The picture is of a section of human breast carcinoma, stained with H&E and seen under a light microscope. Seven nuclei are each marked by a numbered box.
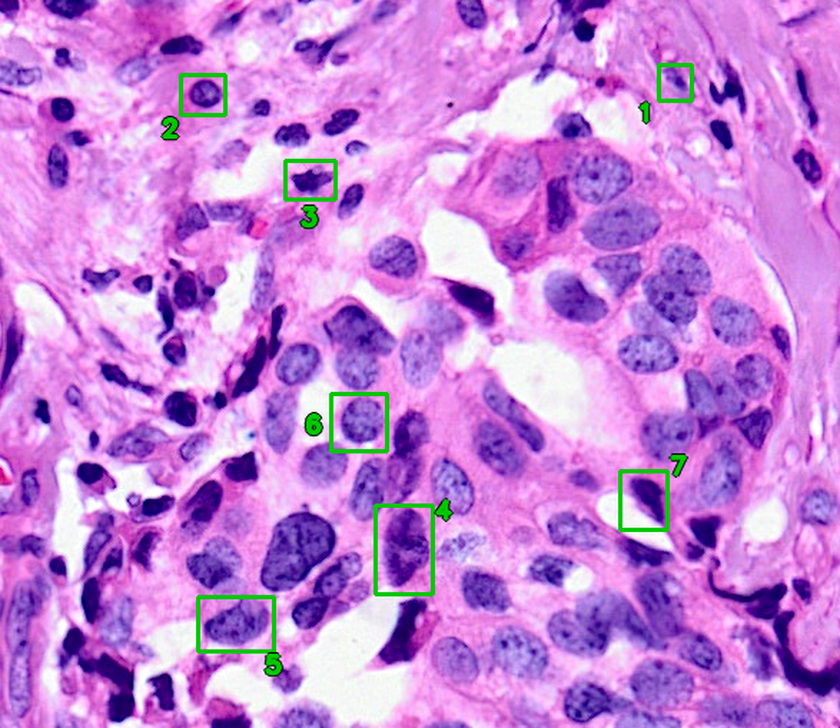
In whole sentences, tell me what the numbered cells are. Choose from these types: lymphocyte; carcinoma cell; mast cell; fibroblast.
Cell 1 is a fibroblast. Cell 2 is a mast cell. Cell 3 is a lymphocyte. Cells 4, 5, 6 and 7 are carcinoma cells.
